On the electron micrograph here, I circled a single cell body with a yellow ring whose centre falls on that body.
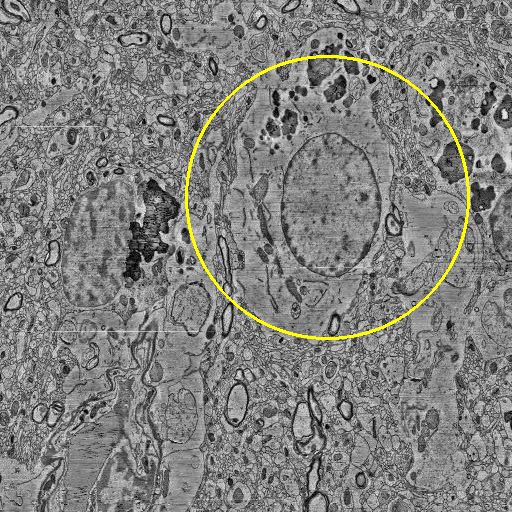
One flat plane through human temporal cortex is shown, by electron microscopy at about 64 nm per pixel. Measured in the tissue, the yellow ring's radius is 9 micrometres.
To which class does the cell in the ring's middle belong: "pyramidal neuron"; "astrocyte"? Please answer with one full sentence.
In this picture, the cell body circled at the ring's centre belongs to an astrocyte.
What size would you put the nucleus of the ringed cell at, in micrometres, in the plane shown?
The ringed cell's nucleus is roughly 10 by 6 micrometres and clearly longer than it is wide in this plane.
